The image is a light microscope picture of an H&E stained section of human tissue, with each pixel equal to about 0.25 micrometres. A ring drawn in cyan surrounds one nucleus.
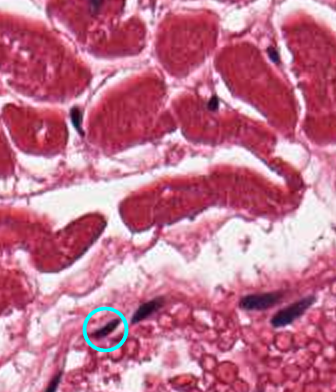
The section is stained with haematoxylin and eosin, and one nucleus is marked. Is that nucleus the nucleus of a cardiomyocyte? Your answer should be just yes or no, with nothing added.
no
